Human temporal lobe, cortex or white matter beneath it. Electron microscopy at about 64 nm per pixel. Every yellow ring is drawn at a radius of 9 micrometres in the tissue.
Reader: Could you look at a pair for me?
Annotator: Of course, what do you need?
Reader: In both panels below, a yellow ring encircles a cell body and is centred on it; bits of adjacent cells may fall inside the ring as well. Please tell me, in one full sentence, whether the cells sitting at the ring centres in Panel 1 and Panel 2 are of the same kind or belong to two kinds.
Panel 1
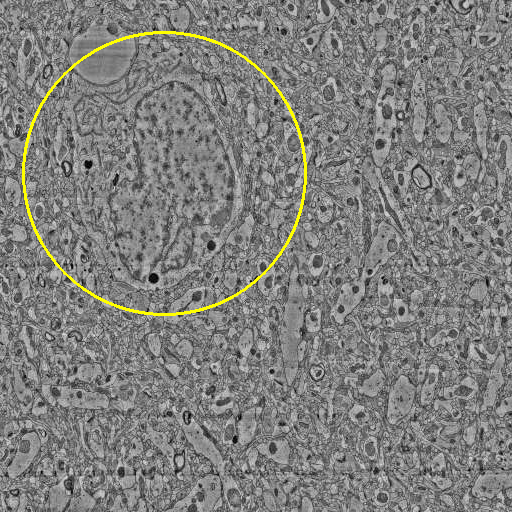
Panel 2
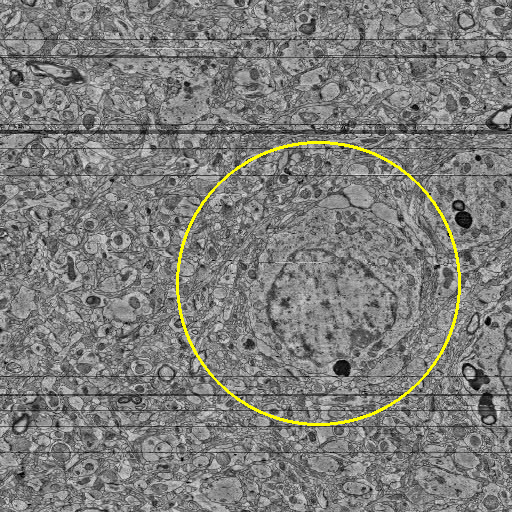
The cell at the ring's centre in Panel 1 and the one in Panel 2 are of the same kind.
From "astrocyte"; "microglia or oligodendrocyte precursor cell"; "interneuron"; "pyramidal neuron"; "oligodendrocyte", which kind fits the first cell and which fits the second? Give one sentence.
The cell in the first picture is an interneuron, and so is the one in the second.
